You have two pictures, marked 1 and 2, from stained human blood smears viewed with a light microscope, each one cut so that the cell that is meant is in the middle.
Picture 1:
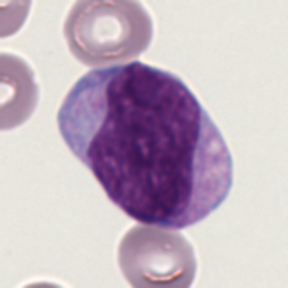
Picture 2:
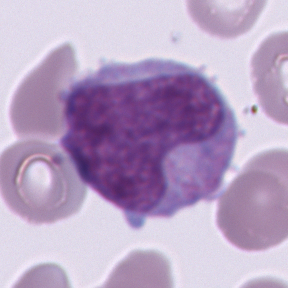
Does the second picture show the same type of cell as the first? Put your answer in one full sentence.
Yes; the cells in both pictures are atypical promyelocytes.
